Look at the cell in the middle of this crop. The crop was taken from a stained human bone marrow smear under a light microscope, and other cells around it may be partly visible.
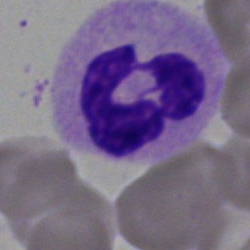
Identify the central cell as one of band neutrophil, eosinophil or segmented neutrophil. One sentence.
Whatever else lies nearby, the middle cell is a segmented neutrophil.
